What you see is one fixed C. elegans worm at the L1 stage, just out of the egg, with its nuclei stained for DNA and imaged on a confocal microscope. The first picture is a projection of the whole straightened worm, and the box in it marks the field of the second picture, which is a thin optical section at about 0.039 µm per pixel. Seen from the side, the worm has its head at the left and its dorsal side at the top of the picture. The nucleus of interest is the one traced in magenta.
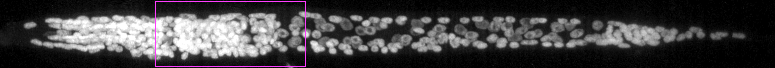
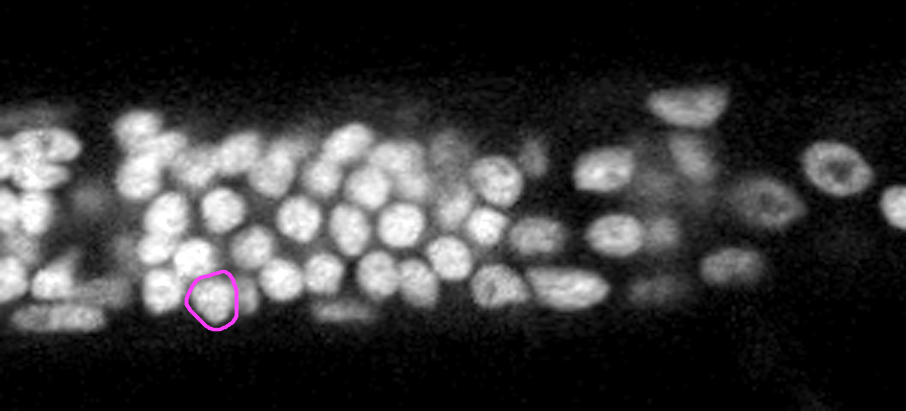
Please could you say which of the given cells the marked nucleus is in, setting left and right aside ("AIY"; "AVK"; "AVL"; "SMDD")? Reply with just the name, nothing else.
SMDD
